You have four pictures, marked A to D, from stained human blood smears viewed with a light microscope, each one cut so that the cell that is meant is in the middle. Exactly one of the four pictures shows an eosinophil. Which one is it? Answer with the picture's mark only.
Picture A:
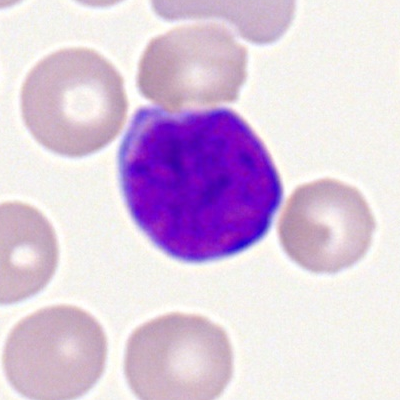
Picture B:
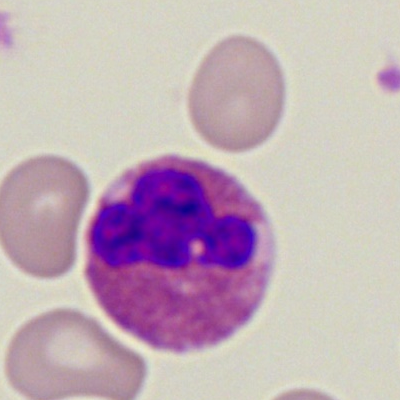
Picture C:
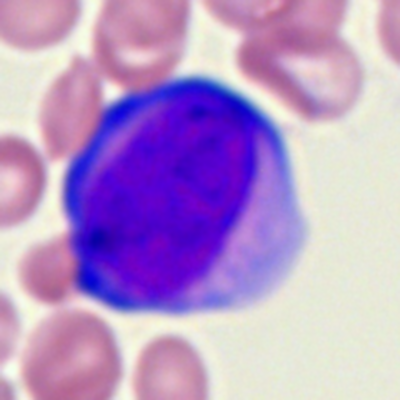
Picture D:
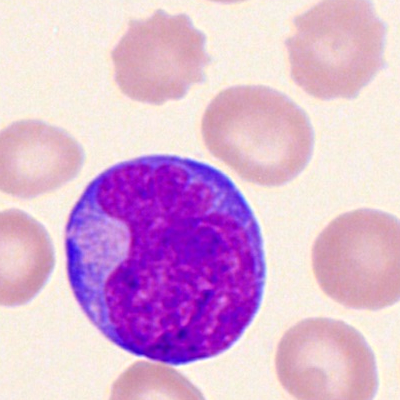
B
